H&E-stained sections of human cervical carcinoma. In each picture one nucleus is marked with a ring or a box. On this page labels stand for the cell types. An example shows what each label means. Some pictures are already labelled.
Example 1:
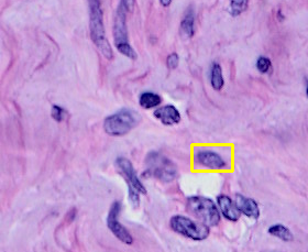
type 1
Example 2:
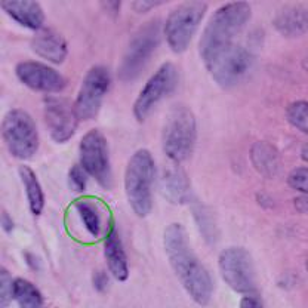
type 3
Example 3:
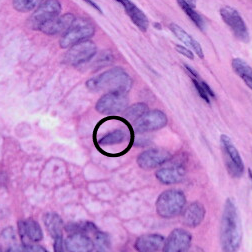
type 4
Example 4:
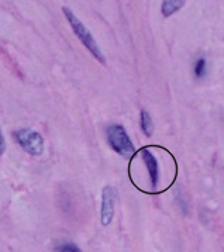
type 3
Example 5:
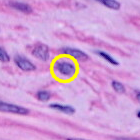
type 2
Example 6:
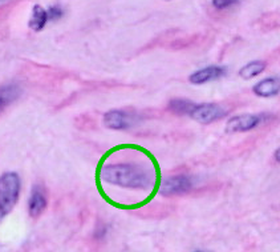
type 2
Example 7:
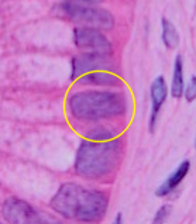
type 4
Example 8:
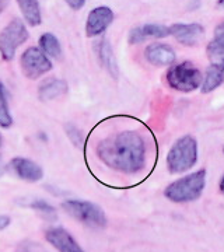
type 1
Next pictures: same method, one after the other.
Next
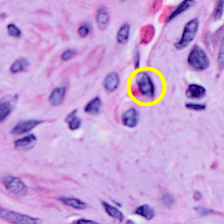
type 1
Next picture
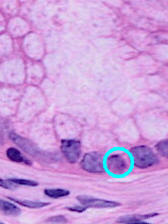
type 4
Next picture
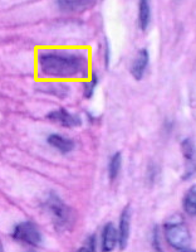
type 4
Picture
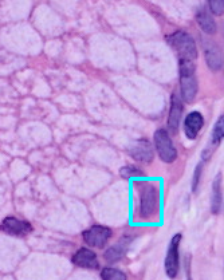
type 4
